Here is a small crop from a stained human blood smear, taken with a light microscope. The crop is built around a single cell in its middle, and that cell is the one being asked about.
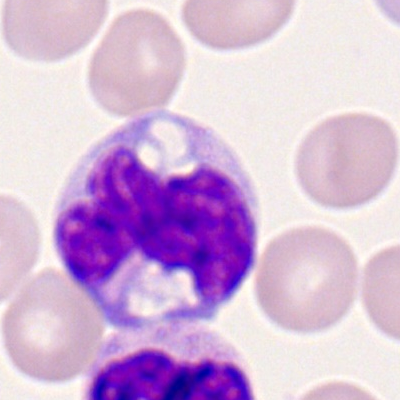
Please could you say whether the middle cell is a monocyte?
yes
